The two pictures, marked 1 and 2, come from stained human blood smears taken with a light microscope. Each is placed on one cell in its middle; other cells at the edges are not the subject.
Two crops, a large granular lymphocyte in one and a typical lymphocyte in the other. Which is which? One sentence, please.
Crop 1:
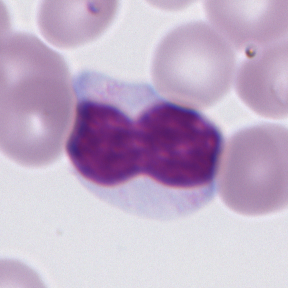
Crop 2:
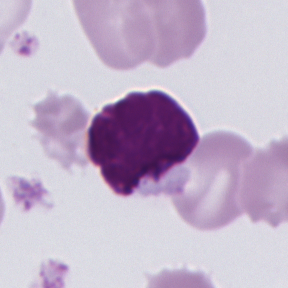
Crop 1 has been identified as a large granular lymphocyte, and crop 2 has been identified as a typical lymphocyte.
